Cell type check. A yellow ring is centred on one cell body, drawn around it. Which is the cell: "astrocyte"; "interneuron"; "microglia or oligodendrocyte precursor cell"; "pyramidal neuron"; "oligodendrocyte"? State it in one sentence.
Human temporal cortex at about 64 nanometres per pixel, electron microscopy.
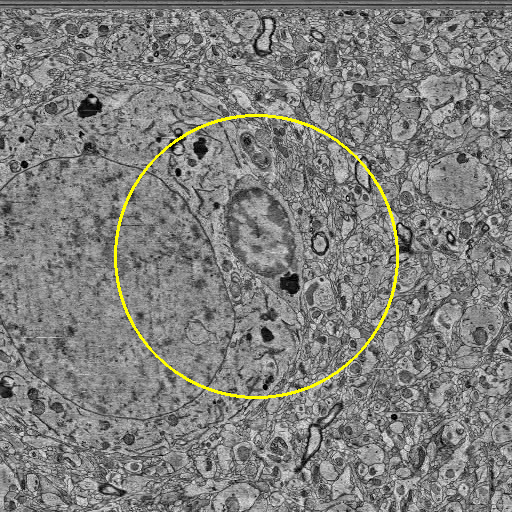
The cell body at the ring's centre belongs to an oligodendrocyte.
